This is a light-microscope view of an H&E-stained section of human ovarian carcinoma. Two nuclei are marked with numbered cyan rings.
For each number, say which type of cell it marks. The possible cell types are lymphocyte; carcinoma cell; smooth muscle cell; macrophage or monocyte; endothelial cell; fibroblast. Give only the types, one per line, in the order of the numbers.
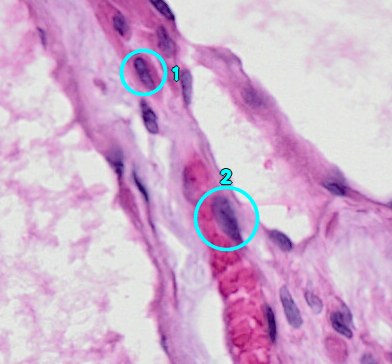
smooth muscle cell
endothelial cell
